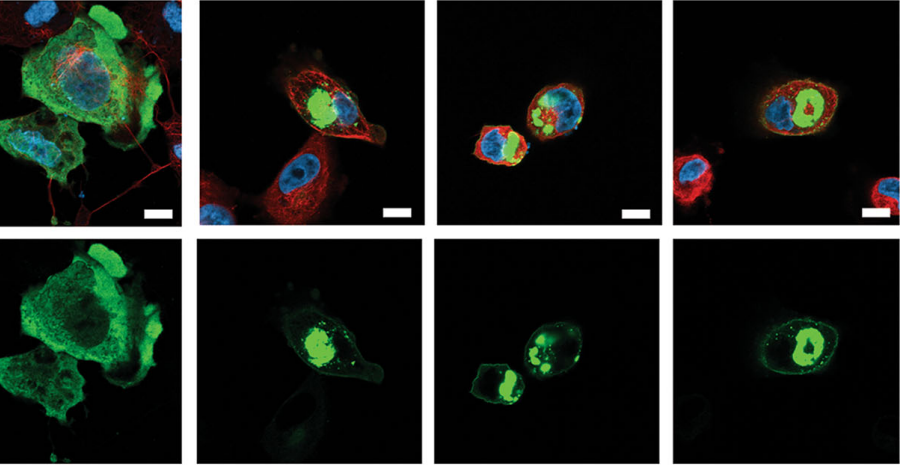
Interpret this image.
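These are cultured cells with oval blue nuclei. In the left-hand column the cells are spread flat, with green filling the cytoplasm evenly and a fine red network extending into thin processes. In the other columns the green-filled cells are smaller and rounded, and most of their green is packed into one or a few large, dense clumps beside the nucleus inside a red rim, with only a faint green haze and small dots elsewhere.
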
